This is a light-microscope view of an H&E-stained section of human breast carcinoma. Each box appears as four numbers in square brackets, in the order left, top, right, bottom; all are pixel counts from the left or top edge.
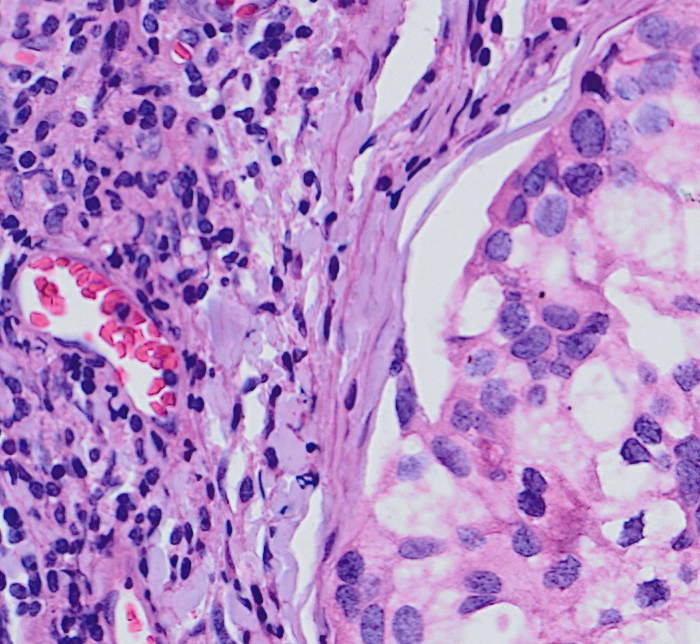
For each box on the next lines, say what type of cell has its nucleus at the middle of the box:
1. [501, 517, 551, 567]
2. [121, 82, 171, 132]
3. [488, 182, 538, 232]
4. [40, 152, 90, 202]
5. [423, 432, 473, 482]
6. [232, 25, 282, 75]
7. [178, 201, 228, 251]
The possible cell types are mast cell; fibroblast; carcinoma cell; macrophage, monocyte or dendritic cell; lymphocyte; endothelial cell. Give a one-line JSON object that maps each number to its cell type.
{"1": "carcinoma cell", "2": "lymphocyte", "3": "carcinoma cell", "4": "lymphocyte", "5": "carcinoma cell", "6": "lymphocyte", "7": "lymphocyte"}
